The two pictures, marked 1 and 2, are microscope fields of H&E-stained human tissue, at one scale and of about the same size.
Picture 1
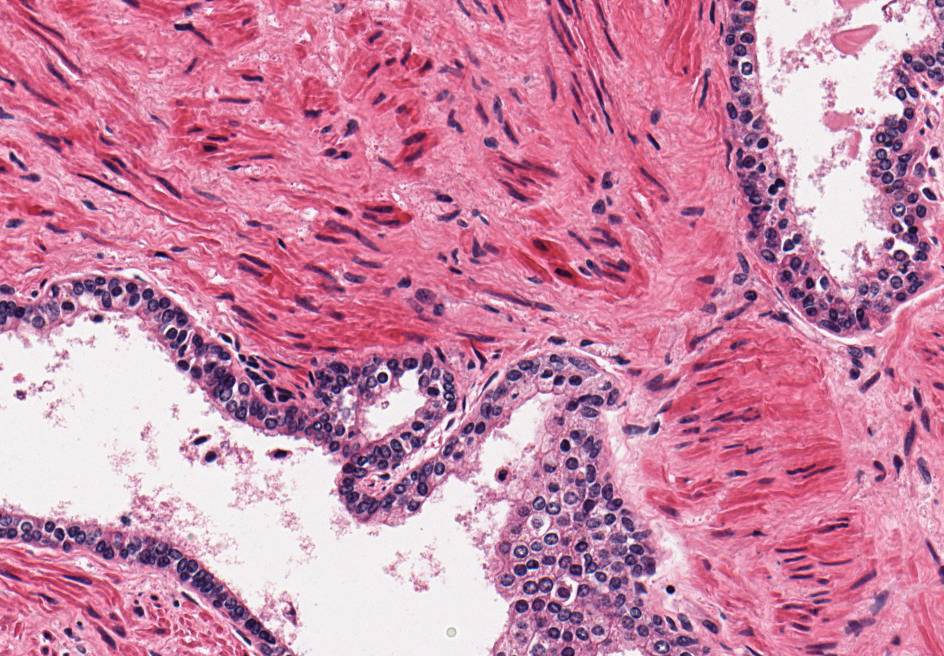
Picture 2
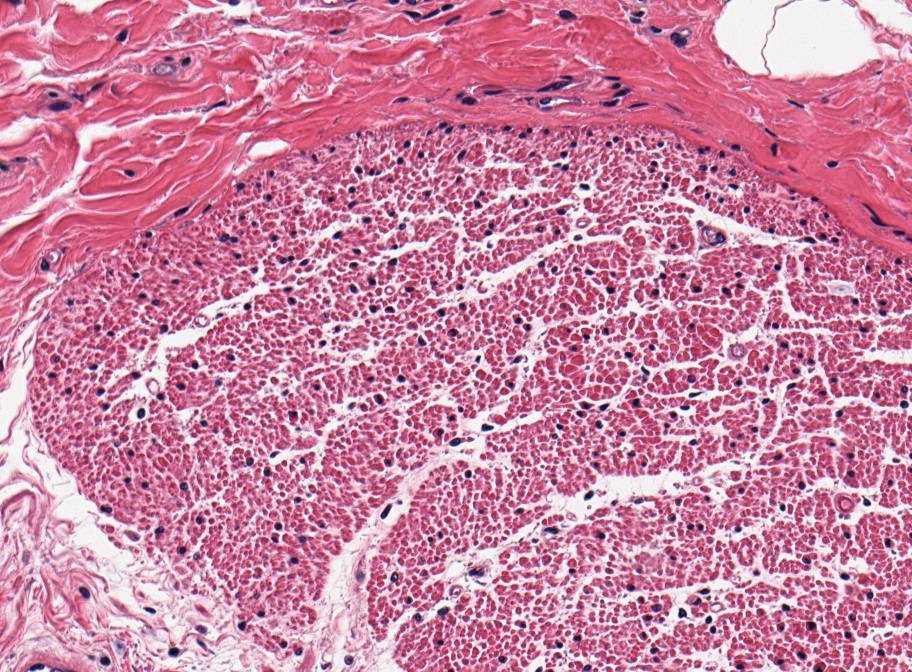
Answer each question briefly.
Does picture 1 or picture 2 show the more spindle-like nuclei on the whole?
1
